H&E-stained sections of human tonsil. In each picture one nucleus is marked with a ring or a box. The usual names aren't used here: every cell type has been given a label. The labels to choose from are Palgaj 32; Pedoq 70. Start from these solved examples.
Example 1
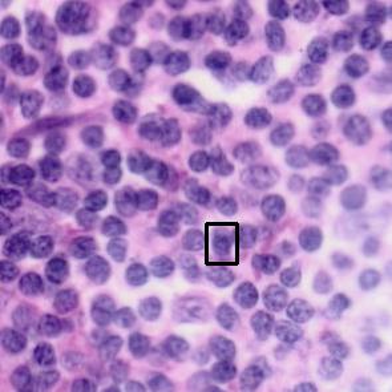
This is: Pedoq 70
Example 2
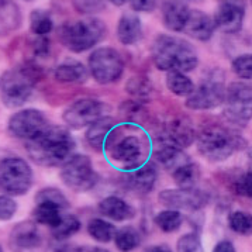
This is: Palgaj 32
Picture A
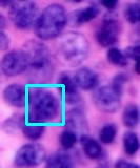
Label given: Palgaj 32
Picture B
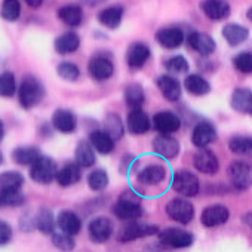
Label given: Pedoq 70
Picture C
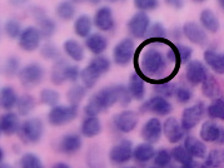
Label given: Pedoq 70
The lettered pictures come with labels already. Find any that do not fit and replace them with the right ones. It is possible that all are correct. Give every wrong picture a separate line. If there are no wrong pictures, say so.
All labels are correct.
